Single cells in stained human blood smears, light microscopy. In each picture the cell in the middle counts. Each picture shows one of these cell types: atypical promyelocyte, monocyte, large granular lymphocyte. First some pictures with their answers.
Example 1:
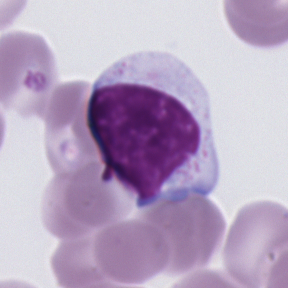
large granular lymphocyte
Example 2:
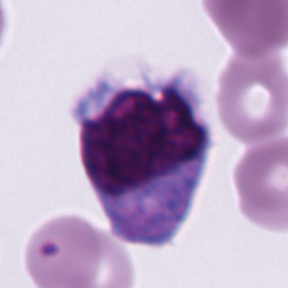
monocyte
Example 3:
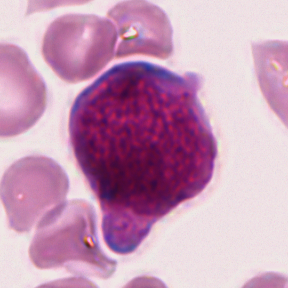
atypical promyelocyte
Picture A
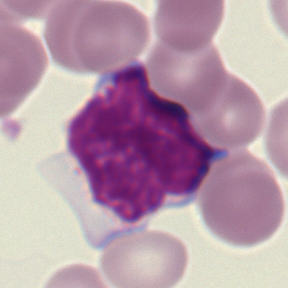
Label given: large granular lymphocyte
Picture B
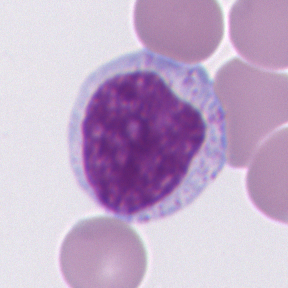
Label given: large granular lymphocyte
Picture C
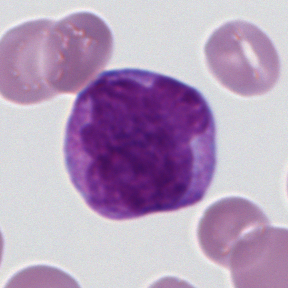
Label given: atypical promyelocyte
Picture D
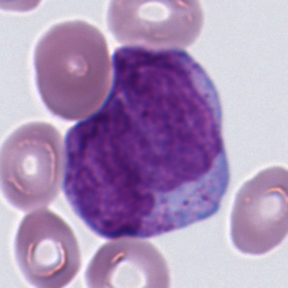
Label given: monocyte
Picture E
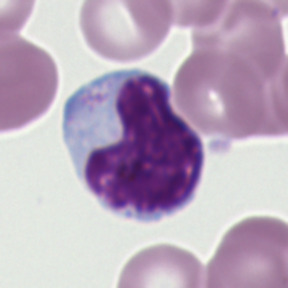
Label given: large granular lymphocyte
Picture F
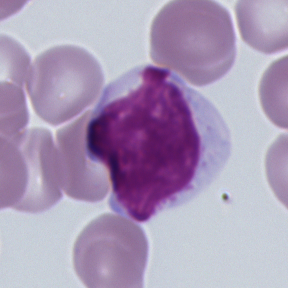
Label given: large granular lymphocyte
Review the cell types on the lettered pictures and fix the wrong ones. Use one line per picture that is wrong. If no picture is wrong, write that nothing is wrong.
Wrong: D (monocyte); correct: atypical promyelocyte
